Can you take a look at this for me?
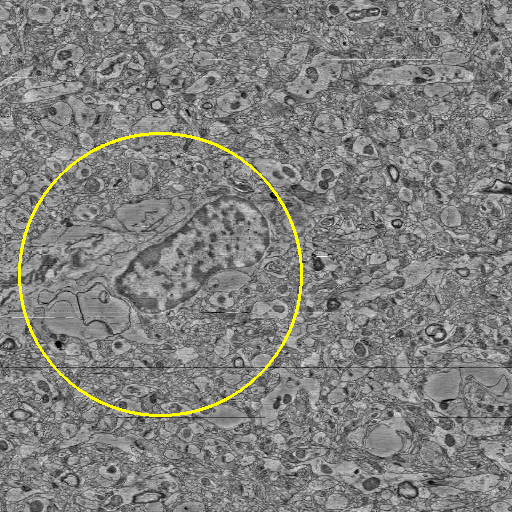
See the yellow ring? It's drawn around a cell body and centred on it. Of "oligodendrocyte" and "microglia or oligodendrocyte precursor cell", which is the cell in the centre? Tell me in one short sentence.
The one in the centre is a microglial cell or oligodendrocyte precursor cell.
